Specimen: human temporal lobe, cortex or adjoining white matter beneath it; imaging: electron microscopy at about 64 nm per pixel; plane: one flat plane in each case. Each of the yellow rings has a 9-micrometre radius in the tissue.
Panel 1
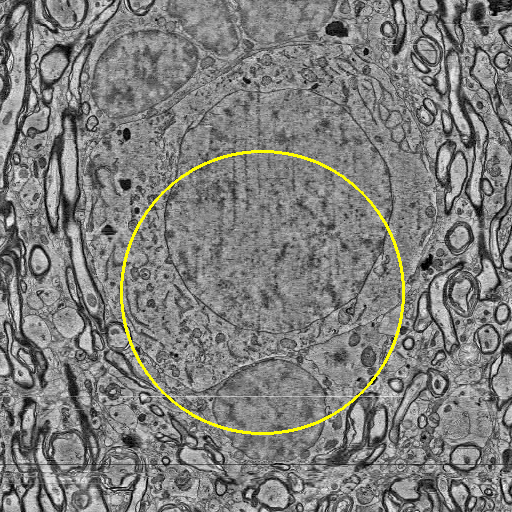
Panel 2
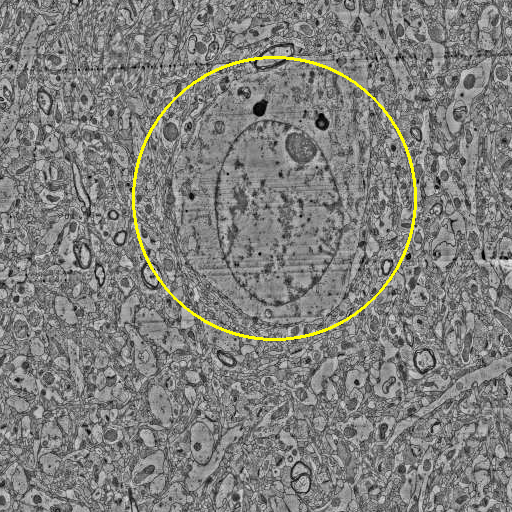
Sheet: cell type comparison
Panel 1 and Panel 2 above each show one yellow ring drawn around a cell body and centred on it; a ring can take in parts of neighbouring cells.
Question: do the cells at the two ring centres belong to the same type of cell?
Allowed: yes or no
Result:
no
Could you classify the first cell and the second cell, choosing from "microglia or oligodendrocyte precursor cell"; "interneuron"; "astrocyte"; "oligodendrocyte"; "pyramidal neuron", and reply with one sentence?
The second cell is a pyramidal neuron, while the first is an interneuron.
